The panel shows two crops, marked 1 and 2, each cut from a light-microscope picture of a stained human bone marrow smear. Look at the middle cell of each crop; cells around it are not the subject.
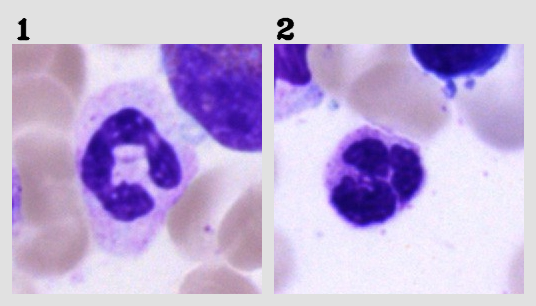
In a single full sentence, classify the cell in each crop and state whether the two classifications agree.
Yes, both crops show segmented neutrophils, and nothing else needs adding.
